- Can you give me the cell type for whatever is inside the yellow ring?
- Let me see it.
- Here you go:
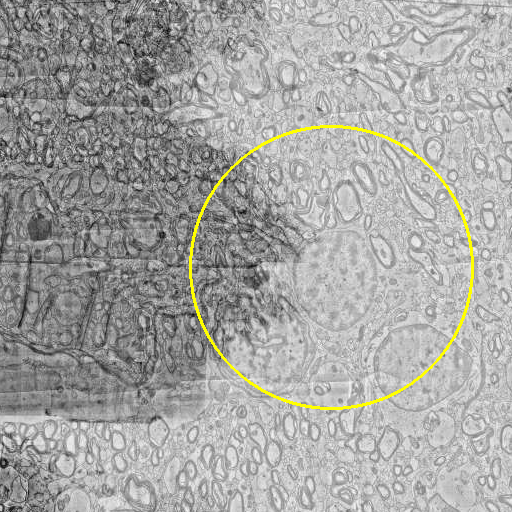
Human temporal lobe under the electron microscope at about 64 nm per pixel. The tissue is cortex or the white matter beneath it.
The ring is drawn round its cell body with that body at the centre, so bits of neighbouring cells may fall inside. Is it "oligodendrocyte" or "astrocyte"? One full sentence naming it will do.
The cell body in the middle of the ring in this picture belongs to an oligodendrocyte.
